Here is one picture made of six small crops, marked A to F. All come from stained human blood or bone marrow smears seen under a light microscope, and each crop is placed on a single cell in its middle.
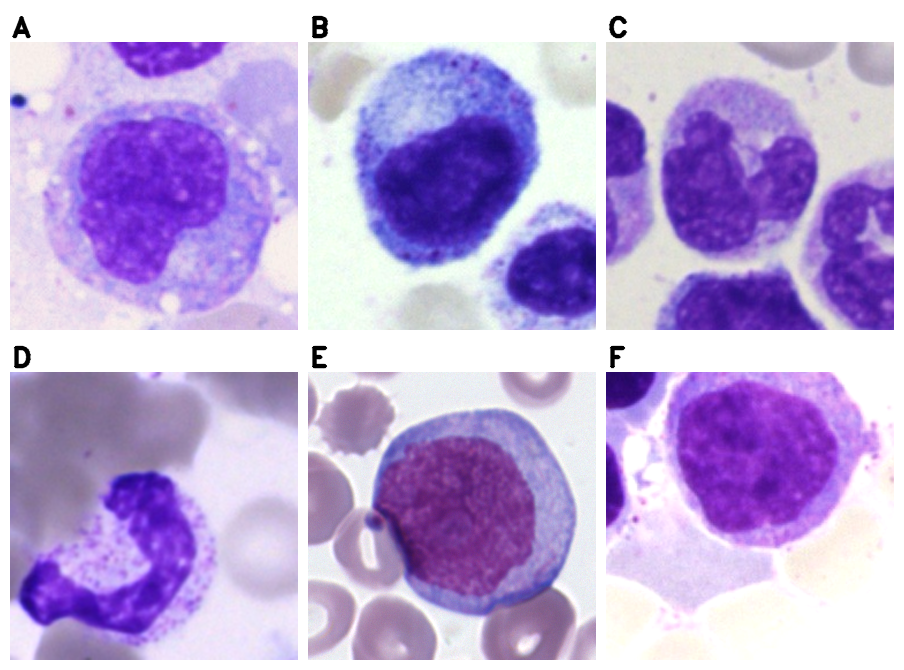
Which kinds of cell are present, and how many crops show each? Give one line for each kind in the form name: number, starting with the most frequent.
monocyte: 3
promyelocyte: 2
band neutrophil: 1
